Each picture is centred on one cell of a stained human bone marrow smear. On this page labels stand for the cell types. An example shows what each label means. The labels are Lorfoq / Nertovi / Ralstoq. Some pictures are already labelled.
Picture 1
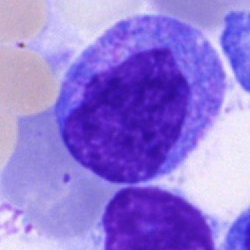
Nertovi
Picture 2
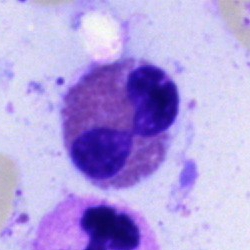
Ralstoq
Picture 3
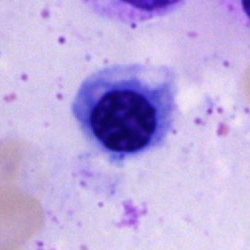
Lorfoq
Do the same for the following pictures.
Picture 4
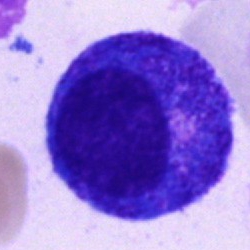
Nertovi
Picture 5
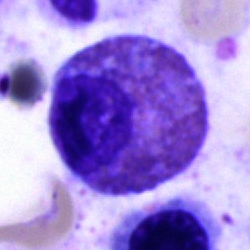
Ralstoq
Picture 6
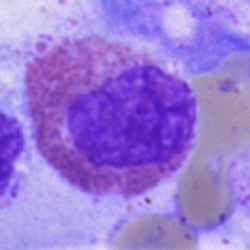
Ralstoq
